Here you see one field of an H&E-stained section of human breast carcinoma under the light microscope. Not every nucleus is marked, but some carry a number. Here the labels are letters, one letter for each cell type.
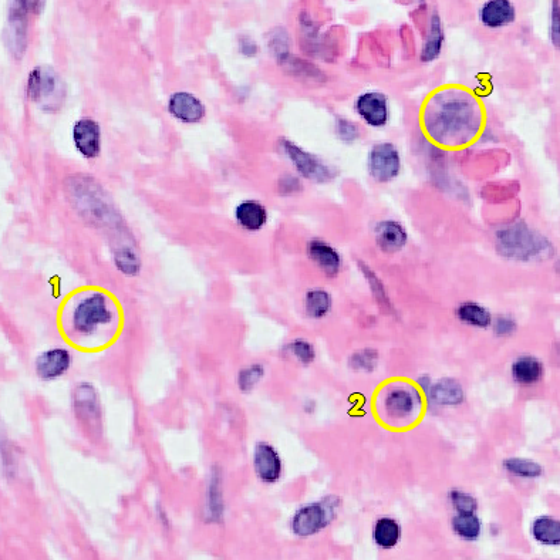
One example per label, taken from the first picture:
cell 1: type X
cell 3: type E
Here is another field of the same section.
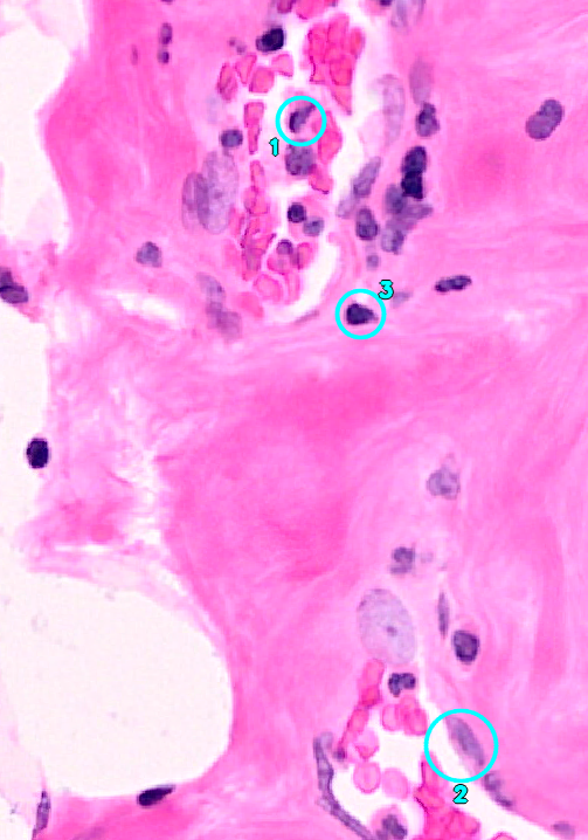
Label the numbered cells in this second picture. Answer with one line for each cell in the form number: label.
1: type E
2: type E
3: type X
